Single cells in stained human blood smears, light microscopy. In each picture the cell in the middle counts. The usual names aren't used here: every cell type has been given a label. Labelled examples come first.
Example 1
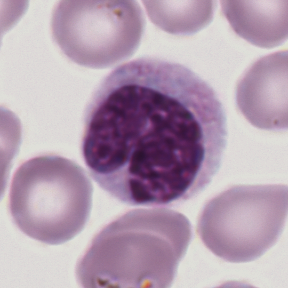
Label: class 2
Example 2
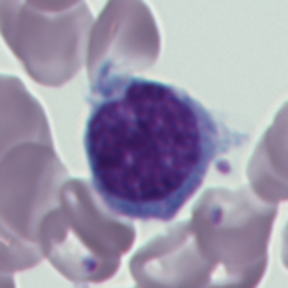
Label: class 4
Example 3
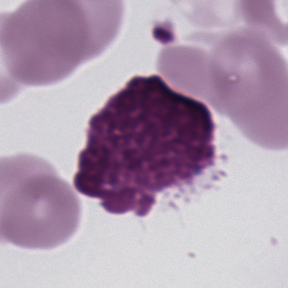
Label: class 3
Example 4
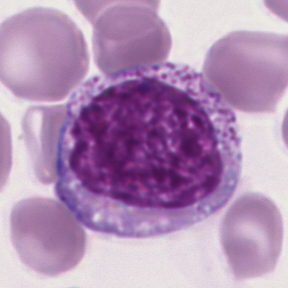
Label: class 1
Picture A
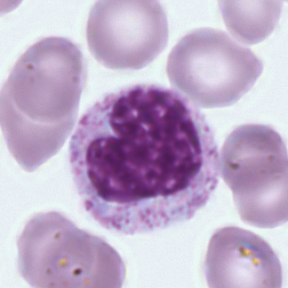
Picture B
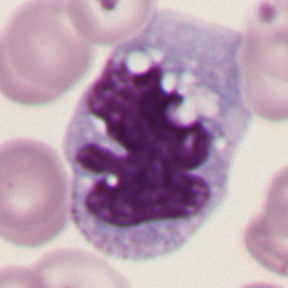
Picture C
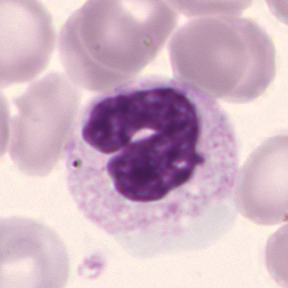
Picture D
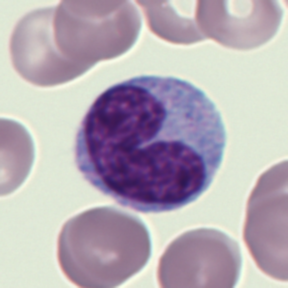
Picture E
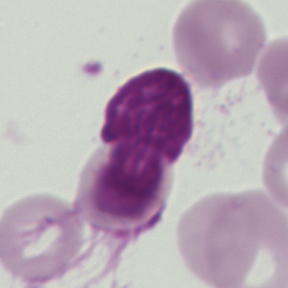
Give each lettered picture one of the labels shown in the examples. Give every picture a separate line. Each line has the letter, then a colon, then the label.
A: class 2
B: class 4
C: class 2
D: class 4
E: class 3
